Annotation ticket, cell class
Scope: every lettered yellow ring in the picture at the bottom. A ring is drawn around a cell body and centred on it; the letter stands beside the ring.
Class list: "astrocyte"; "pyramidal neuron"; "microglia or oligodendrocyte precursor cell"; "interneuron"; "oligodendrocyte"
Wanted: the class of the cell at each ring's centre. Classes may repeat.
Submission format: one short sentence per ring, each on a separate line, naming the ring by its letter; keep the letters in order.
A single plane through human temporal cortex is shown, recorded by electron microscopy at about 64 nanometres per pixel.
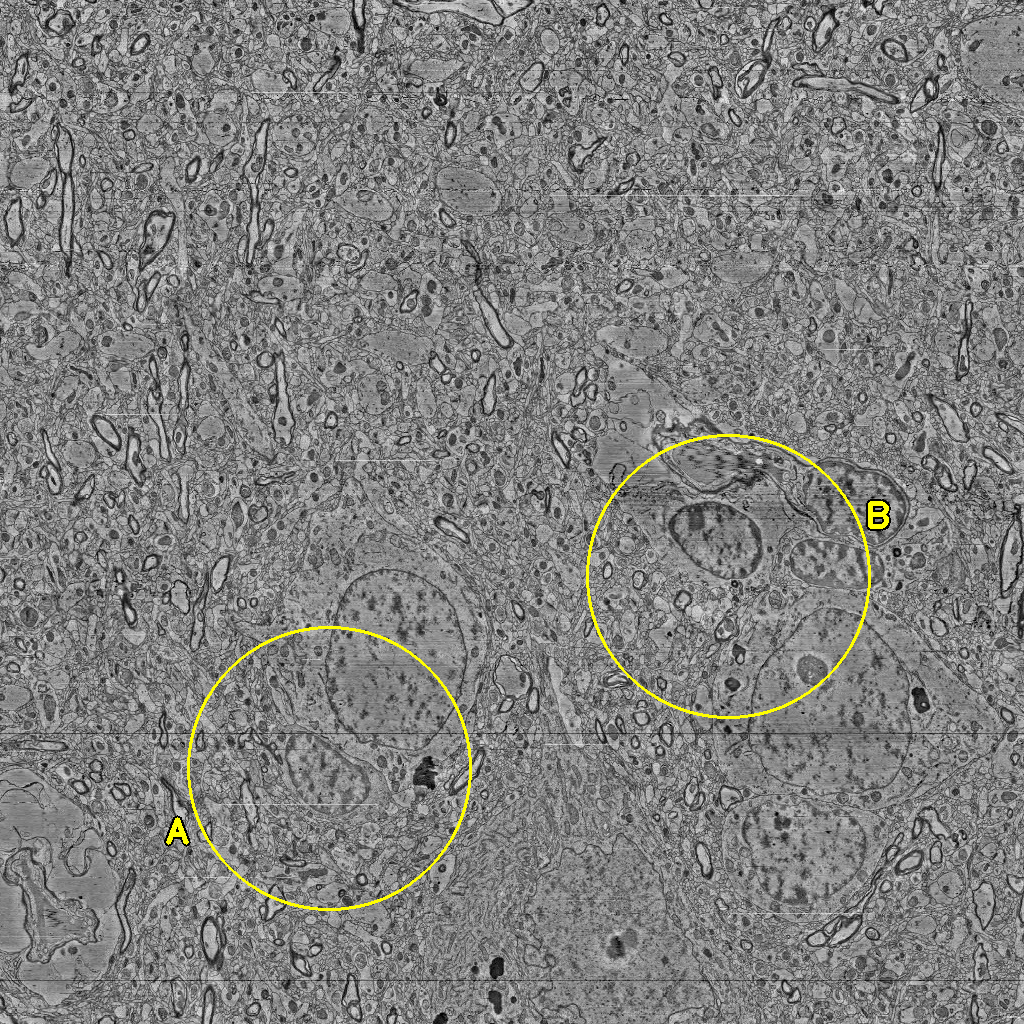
The centre of ring A is occupied by an oligodendrocyte.
The centre of ring B is occupied by a microglial cell or oligodendrocyte precursor cell.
